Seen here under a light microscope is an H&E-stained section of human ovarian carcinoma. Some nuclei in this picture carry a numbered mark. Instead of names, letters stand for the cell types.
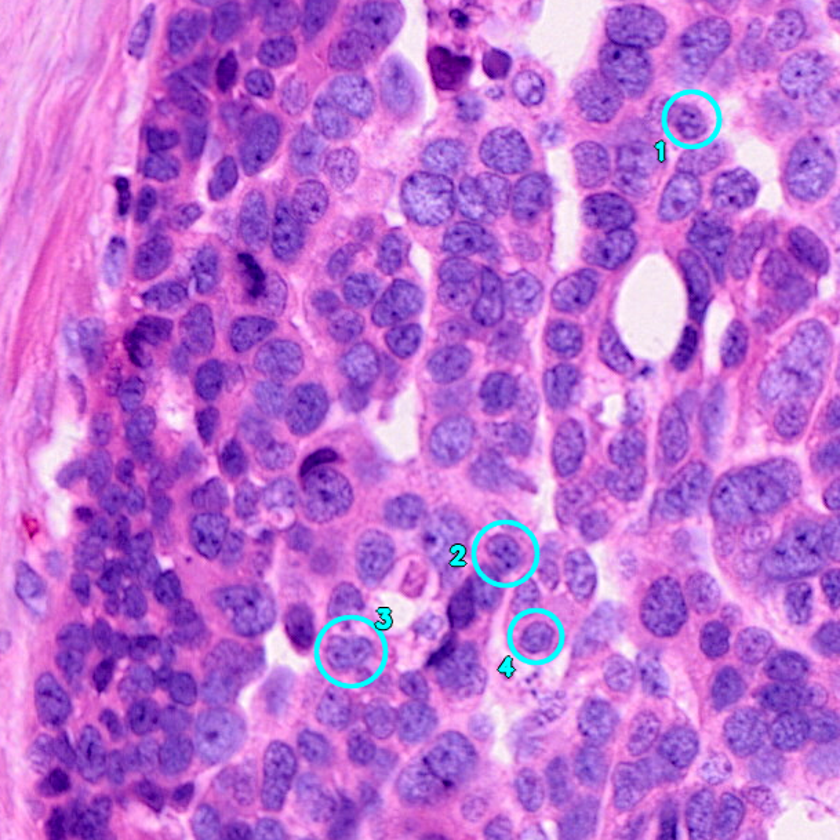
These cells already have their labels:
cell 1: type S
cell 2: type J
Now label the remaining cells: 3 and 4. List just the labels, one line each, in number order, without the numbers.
type J
type J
